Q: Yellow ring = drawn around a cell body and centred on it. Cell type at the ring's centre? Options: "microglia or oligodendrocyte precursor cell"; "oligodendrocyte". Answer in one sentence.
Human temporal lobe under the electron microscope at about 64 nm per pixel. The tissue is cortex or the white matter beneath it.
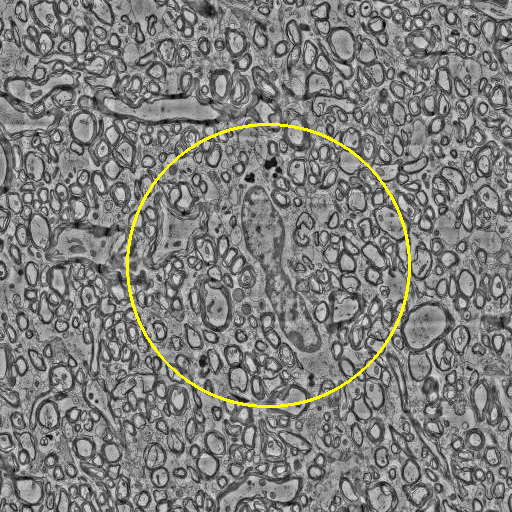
Centred in the ring is a microglial cell or oligodendrocyte precursor cell.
